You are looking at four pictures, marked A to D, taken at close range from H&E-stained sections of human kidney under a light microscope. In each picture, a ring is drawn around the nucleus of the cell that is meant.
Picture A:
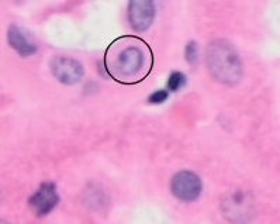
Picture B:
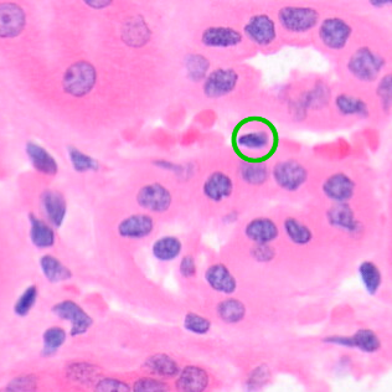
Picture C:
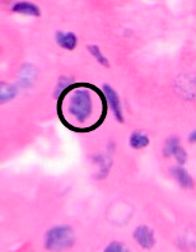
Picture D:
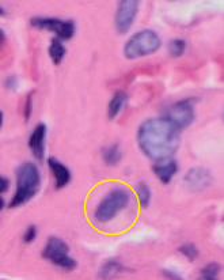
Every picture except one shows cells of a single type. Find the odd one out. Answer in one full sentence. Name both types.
The different one is picture B; it shows an endothelial cell, whereas all the others show collecting duct cells.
